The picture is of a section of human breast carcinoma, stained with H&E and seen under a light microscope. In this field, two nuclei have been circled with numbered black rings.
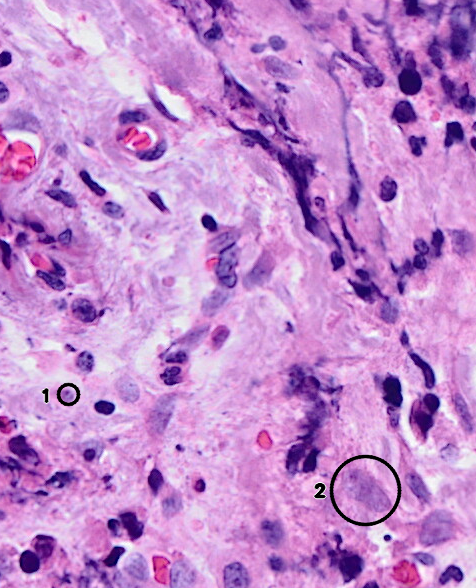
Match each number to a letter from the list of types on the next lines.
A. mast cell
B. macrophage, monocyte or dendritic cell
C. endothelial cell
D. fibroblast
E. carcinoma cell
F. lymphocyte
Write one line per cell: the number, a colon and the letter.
1: A
2: D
